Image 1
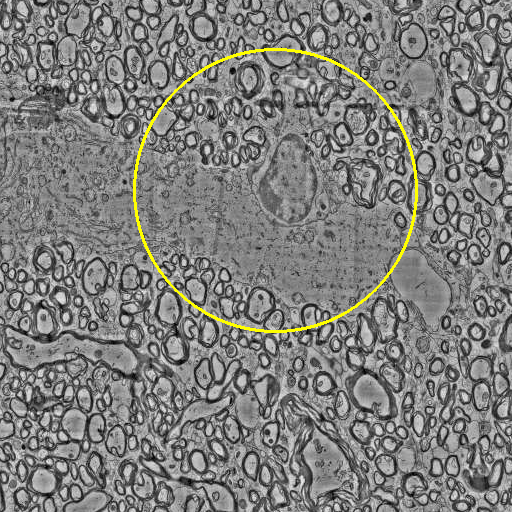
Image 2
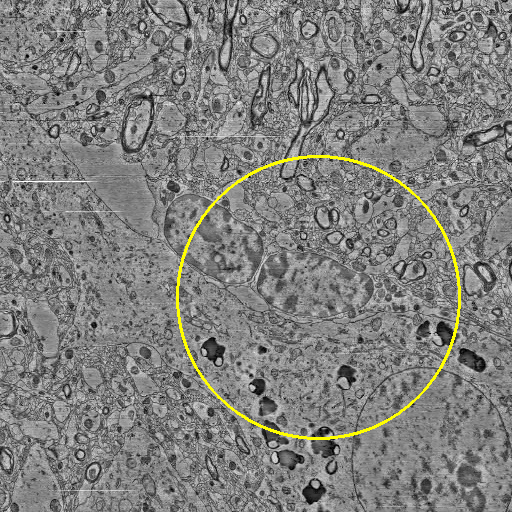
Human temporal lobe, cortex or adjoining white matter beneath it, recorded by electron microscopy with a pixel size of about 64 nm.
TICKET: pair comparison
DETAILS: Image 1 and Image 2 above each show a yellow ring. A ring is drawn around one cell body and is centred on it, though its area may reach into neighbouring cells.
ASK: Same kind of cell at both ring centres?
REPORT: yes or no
yes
